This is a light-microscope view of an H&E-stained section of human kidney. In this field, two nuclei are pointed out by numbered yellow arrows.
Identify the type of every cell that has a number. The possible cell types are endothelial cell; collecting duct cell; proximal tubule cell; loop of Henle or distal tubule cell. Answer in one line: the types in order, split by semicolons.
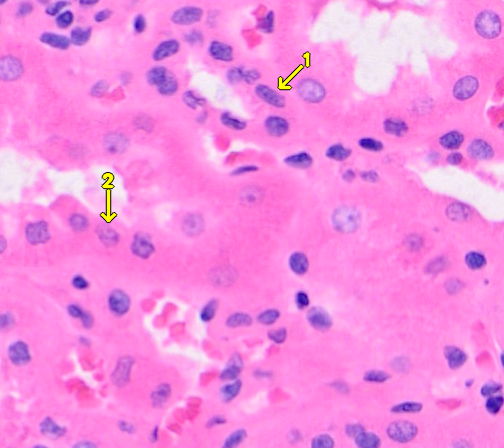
collecting duct cell; proximal tubule cell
